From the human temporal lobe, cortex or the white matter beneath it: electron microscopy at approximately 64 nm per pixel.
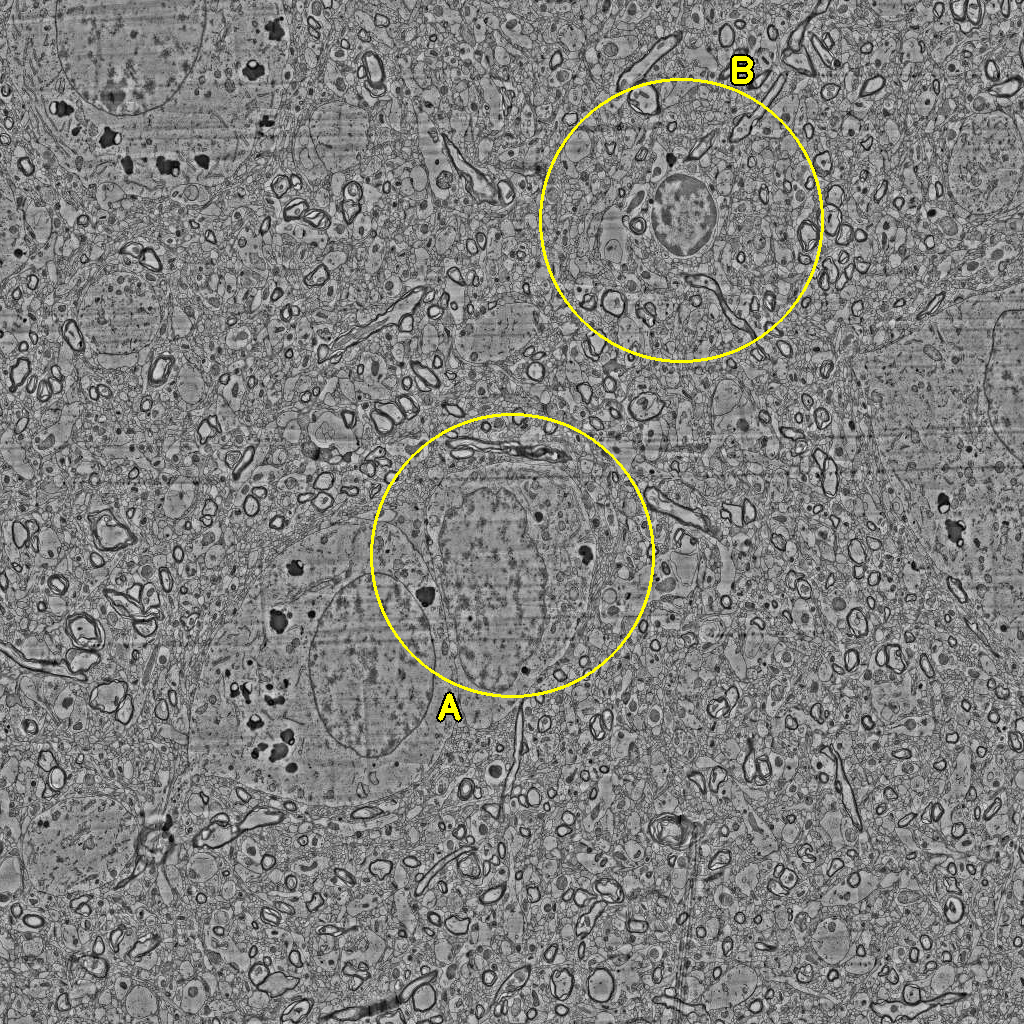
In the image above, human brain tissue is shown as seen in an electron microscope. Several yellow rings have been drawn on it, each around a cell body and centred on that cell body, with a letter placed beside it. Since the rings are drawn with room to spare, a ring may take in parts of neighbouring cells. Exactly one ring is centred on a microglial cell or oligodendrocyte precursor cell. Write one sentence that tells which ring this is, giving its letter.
The ring marked B is centred on it.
